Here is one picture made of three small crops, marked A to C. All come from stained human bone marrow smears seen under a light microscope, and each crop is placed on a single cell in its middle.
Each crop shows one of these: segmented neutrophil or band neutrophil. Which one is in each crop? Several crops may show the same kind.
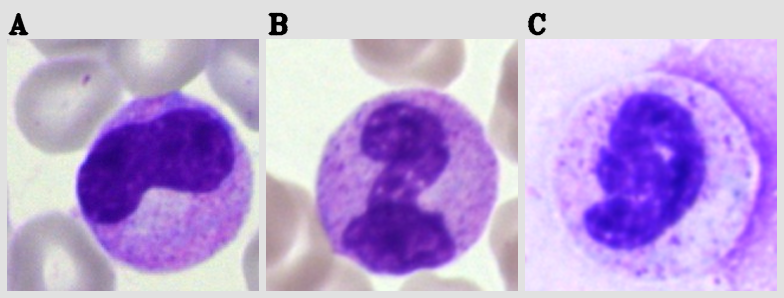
A: band neutrophil
B: segmented neutrophil
C: segmented neutrophil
